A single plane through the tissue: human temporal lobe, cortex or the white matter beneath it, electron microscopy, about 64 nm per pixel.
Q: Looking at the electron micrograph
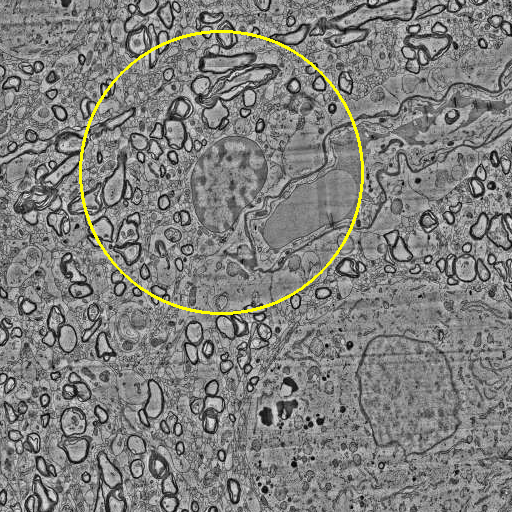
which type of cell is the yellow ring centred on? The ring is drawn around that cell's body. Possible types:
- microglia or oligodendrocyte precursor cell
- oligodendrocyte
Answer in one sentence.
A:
The yellow ring is centred on a microglial cell or oligodendrocyte precursor cell.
